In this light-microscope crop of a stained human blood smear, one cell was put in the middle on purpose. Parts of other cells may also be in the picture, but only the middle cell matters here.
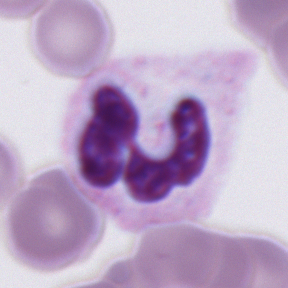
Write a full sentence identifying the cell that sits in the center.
What sits at the centre of this crop is a segmented neutrophil.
